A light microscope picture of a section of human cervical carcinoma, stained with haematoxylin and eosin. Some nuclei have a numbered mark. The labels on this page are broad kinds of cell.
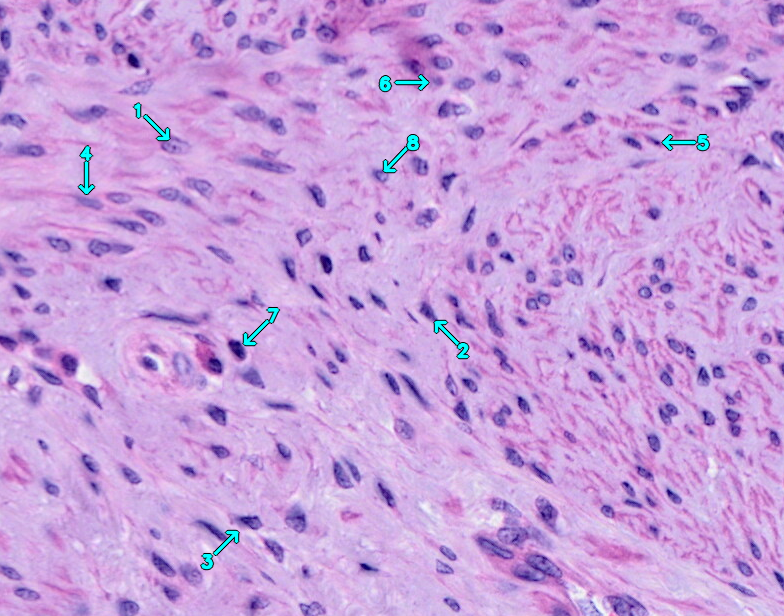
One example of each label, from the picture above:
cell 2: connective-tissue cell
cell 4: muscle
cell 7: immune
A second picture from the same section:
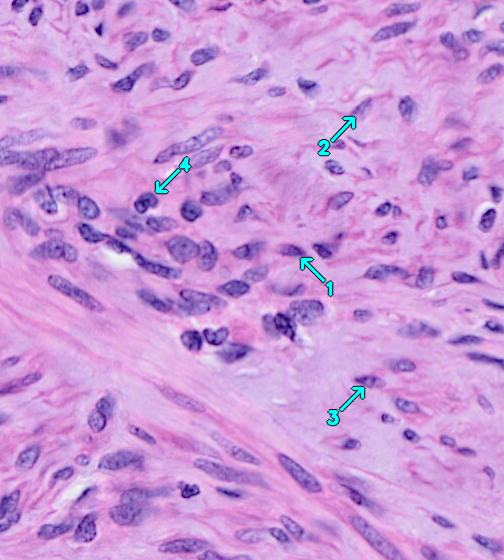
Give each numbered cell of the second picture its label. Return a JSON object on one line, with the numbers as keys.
{"1": "muscle", "2": "muscle", "3": "muscle", "4": "immune"}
